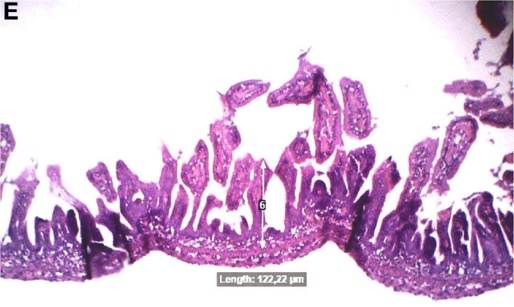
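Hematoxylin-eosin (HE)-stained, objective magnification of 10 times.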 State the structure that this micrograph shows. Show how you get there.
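Long finger-like projections rise from the mucosal surface into the lumen. Each projection has a pink core covered by a darker-staining epithelial lining. So: villi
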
